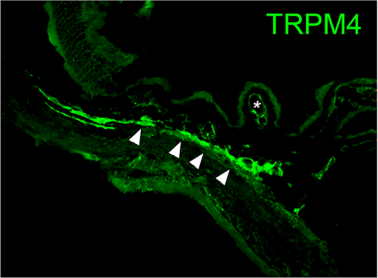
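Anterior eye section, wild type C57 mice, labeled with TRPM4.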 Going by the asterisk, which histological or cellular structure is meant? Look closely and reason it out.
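The asterisk sits inside a small rounded profile with a green-outlined wall. The profile lies in the folded tissue above the brightly labelled band.
Ciliary vasculature.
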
